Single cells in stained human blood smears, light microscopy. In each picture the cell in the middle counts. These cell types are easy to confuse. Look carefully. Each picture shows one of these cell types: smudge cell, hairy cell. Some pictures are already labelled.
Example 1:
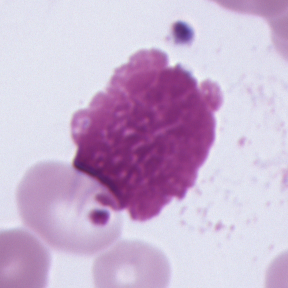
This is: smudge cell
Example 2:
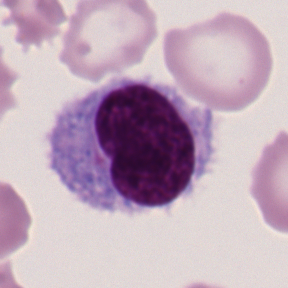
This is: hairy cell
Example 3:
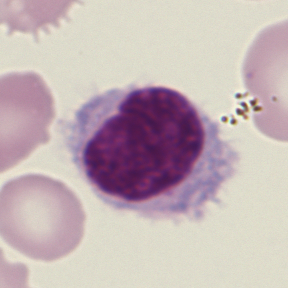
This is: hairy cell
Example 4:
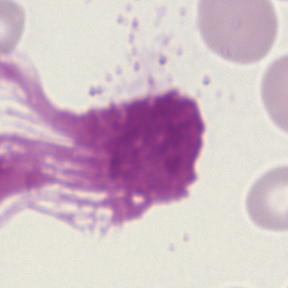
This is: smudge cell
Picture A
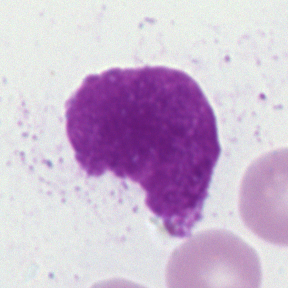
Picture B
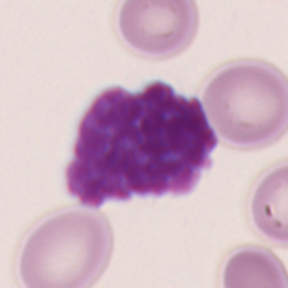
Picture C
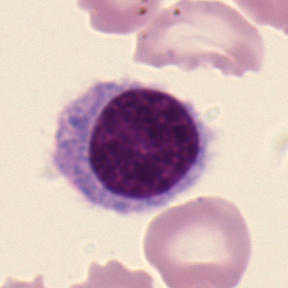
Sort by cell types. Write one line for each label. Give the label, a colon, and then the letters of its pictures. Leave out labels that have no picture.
smudge cell: A, B
hairy cell: C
